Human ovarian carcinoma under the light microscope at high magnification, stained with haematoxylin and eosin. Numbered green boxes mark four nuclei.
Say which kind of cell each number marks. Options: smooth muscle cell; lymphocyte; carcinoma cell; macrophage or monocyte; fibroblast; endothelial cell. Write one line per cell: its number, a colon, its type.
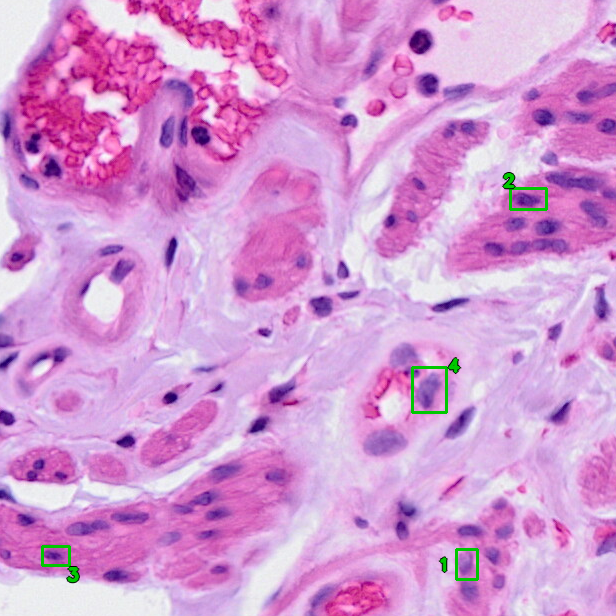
1: smooth muscle cell
2: smooth muscle cell
3: smooth muscle cell
4: endothelial cell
